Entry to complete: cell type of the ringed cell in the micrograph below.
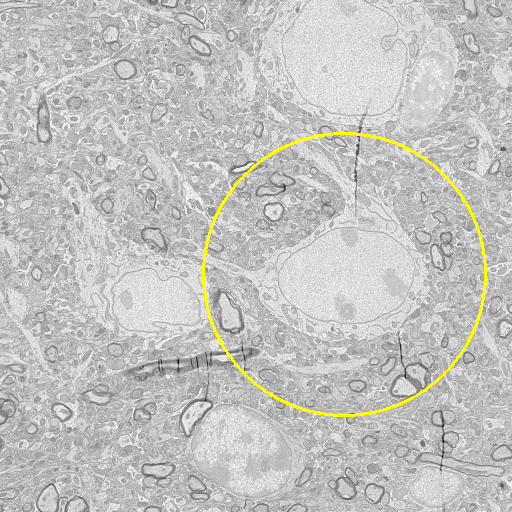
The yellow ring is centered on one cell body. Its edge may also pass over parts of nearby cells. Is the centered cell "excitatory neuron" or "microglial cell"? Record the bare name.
excitatory neuron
